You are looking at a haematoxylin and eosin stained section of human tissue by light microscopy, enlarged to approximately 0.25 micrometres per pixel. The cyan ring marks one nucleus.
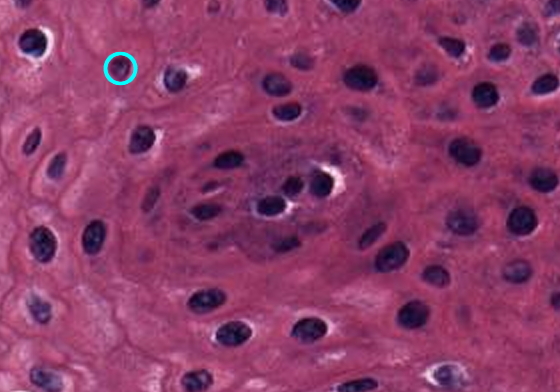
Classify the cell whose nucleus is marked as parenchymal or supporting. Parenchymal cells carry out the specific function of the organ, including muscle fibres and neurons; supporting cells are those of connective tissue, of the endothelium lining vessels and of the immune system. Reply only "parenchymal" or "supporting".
parenchymal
